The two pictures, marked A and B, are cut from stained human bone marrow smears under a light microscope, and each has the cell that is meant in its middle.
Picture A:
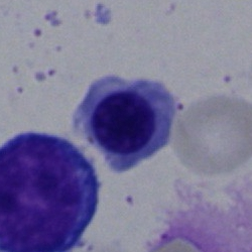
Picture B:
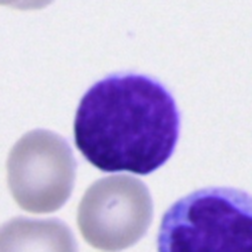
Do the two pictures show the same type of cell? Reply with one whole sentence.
No. Picture A shows an erythroblast, but picture B shows a lymphocyte.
